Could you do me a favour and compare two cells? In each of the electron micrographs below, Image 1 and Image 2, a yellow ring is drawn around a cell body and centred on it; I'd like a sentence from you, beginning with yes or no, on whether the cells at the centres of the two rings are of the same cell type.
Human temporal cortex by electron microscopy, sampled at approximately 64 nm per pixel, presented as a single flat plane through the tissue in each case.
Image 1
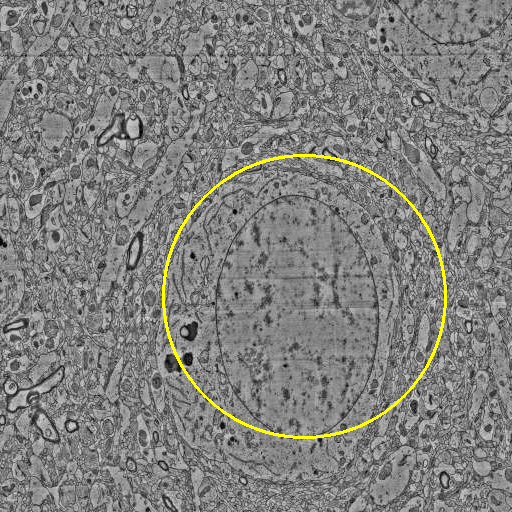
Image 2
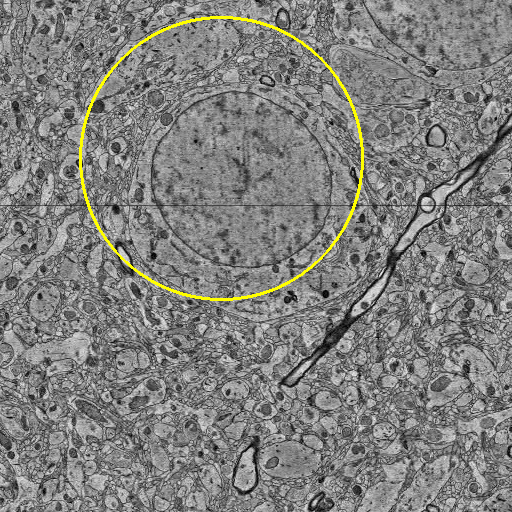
Yes, the two cells are of the same cell type.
